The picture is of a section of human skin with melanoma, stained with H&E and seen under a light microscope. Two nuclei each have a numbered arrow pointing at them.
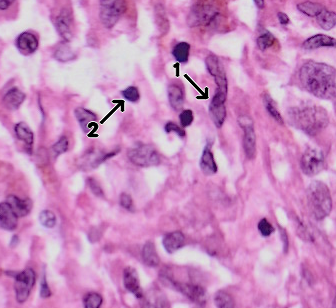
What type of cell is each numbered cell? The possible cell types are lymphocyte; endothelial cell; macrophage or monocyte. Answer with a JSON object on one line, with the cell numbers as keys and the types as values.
{"1": "macrophage or monocyte", "2": "lymphocyte"}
